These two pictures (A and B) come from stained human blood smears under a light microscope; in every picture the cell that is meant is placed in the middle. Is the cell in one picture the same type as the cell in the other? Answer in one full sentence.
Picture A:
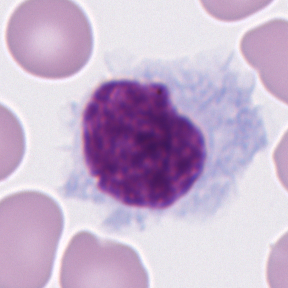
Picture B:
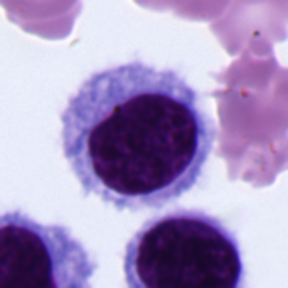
Yes, the two pictures both show hairy cells.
